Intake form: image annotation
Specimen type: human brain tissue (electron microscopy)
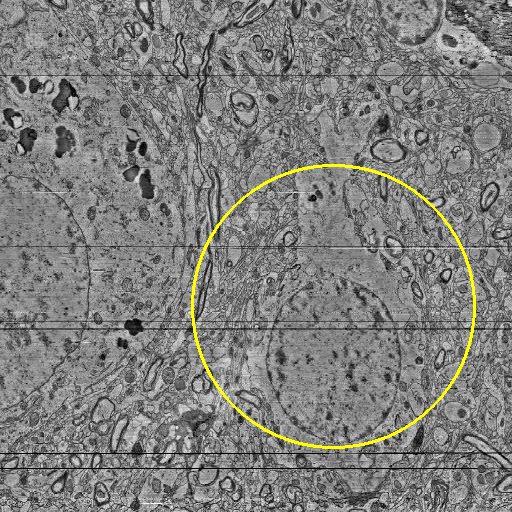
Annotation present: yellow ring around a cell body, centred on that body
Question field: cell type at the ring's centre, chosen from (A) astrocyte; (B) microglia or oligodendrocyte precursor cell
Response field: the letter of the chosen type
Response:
A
